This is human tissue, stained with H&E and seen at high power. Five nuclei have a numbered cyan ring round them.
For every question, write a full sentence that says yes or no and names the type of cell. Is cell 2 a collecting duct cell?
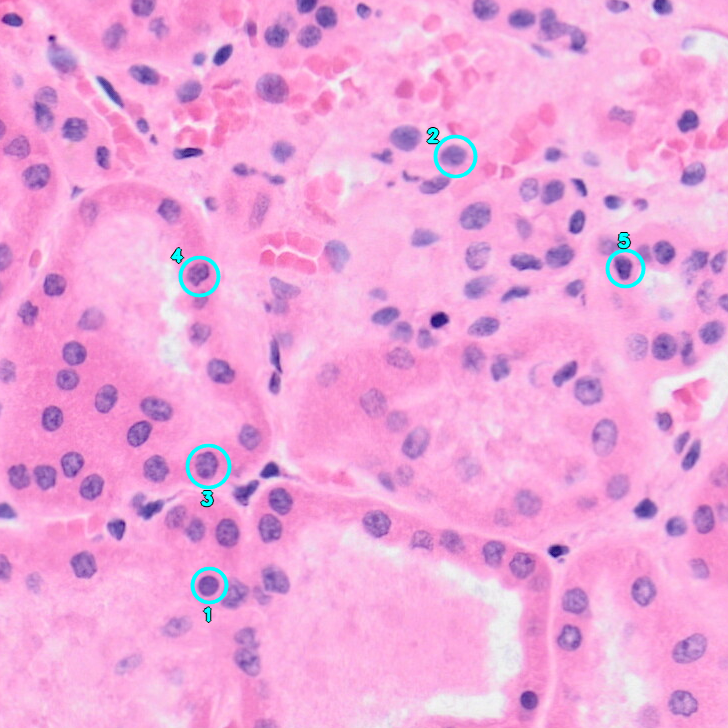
No, cell 2 is not a collecting duct cell; an endothelial cell is correct.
